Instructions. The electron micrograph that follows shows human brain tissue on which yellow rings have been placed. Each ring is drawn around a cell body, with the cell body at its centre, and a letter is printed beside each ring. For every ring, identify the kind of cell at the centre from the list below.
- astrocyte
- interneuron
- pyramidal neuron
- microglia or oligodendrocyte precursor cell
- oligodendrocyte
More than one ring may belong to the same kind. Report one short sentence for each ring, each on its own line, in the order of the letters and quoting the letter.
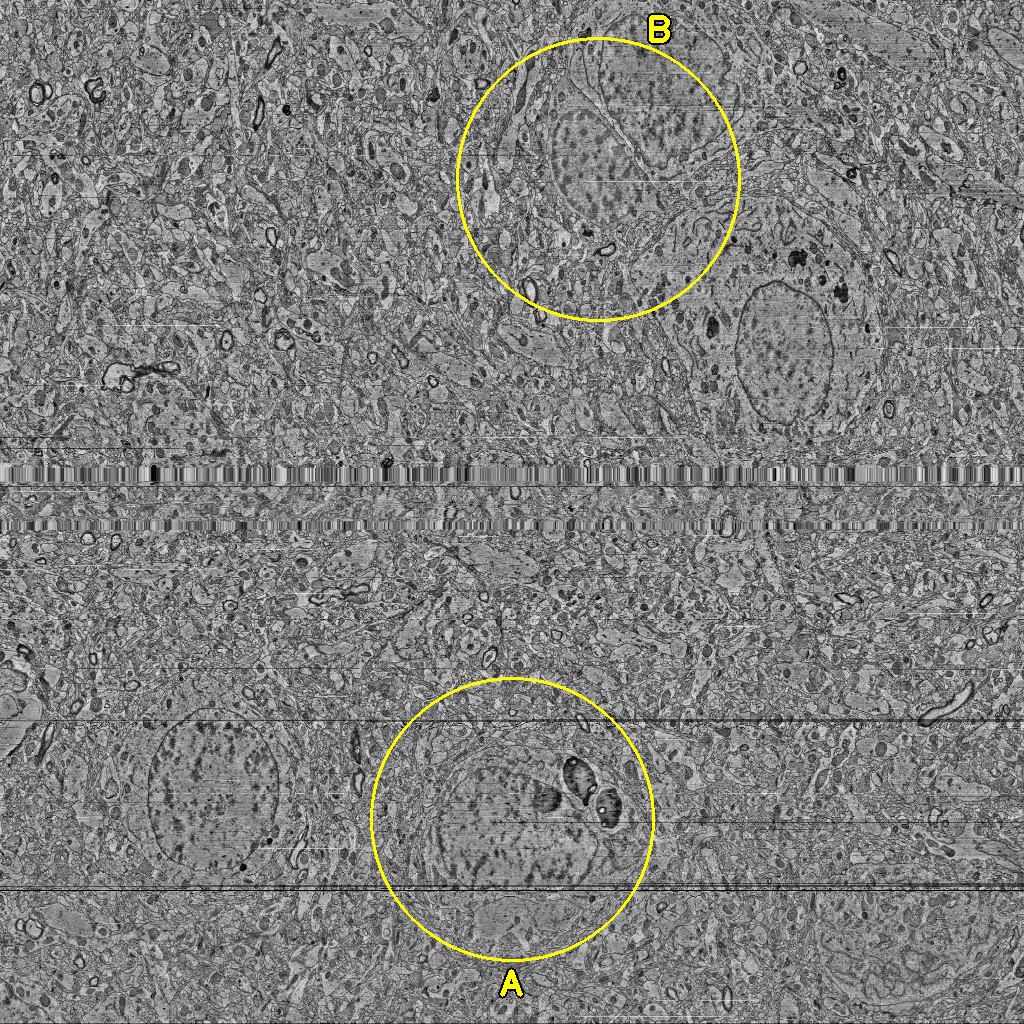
The centre of ring A is occupied by an interneuron.
The centre of ring B is occupied by an oligodendrocyte.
